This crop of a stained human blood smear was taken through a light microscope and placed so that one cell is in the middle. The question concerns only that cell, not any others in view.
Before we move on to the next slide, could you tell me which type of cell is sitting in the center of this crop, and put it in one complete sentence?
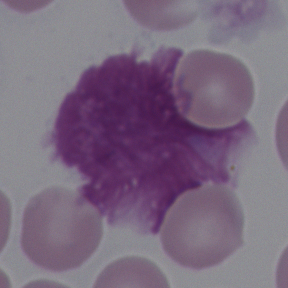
The cell centered in this field of view is a smudge cell.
